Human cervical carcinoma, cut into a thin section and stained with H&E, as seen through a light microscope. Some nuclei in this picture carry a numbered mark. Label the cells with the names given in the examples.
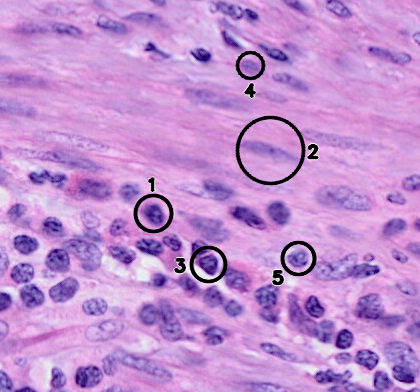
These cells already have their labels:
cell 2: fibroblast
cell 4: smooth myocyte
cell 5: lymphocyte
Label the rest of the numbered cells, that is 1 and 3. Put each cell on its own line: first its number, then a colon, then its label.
1: lymphocyte
3: lymphocyte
